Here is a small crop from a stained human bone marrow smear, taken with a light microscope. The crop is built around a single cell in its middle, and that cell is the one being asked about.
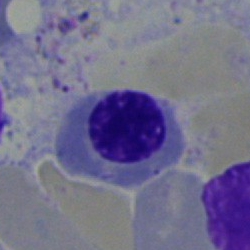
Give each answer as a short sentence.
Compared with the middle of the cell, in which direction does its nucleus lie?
The nucleus sits off-centre, toward the upper right.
